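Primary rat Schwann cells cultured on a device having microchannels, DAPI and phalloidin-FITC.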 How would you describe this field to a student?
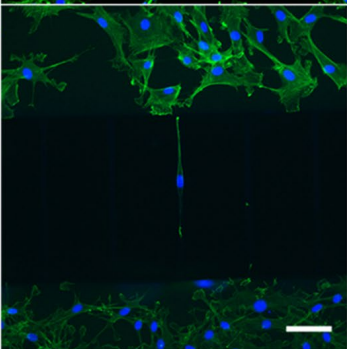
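Above, the cells are broad and irregular with fibrous green cytoplasm and thin processes reaching out to neighbours, each holding a single oval nucleus. Within the dark band a single slender spindle-shaped cell lies vertically, its nucleus placed in the middle of its thin length.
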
